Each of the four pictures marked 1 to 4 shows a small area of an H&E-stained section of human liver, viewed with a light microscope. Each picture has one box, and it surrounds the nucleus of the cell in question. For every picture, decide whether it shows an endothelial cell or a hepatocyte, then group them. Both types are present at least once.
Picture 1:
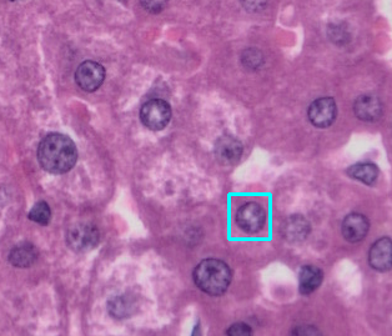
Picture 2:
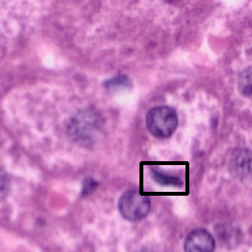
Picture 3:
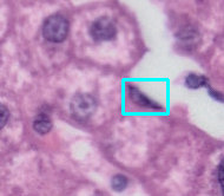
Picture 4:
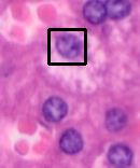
1: hepatocyte
2: endothelial cell
3: endothelial cell
4: hepatocyte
